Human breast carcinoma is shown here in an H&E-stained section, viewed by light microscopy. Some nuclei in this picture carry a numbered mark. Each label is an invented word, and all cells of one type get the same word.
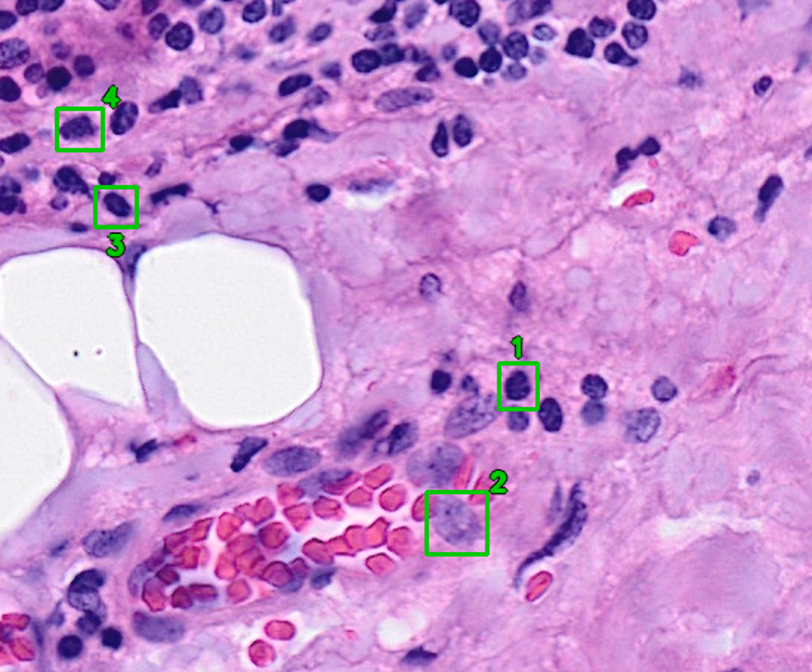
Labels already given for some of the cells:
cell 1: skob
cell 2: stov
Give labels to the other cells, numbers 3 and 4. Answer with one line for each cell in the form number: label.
3: skob
4: skob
